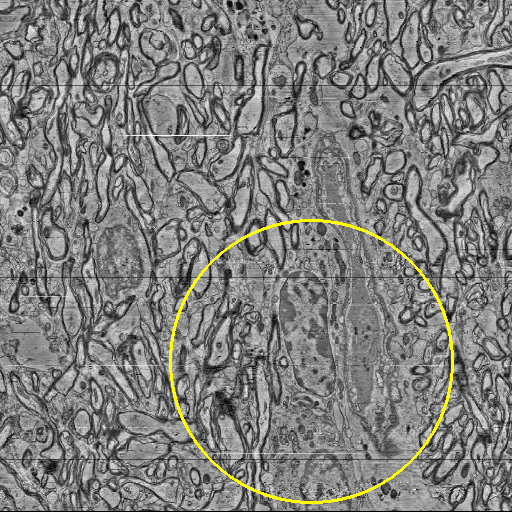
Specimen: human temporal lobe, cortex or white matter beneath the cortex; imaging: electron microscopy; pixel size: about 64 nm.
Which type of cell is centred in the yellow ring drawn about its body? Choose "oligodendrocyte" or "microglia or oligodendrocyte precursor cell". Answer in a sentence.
The yellow ring surrounds the cell body of a microglial cell or oligodendrocyte precursor cell.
